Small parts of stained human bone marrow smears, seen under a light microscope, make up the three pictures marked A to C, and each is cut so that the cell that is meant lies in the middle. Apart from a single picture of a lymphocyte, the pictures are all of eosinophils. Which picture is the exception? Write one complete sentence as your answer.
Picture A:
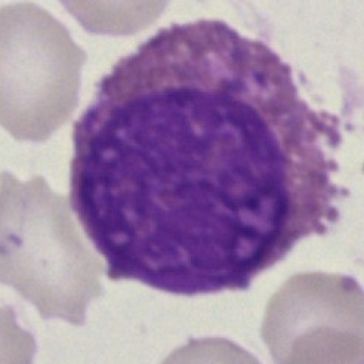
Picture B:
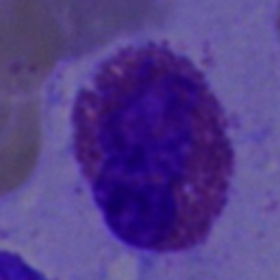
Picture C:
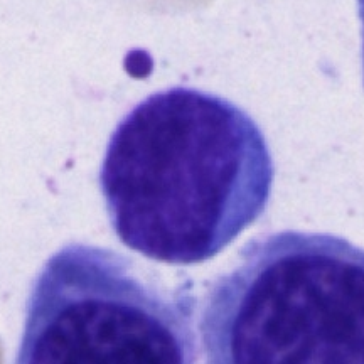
Picture C is the one that shows the lymphocyte.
